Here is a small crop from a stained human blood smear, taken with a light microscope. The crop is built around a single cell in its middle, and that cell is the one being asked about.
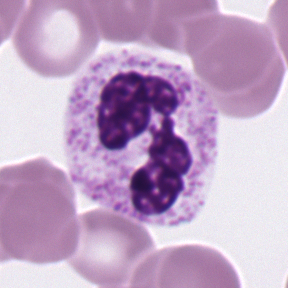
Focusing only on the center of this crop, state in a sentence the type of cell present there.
The cell at the heart of this crop is a segmented neutrophil.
